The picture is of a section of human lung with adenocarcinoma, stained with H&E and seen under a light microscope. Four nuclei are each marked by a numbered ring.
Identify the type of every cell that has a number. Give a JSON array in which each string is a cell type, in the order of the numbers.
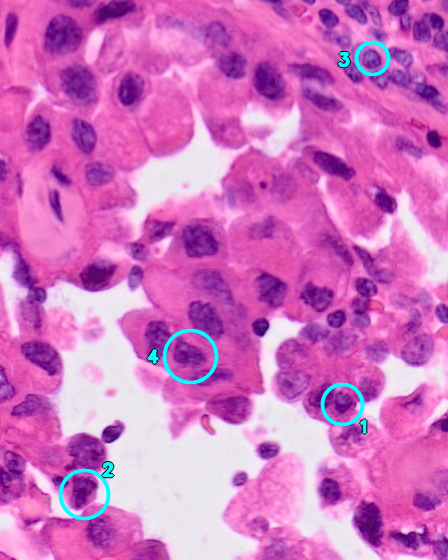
["carcinoma cell", "carcinoma cell", "lymphocyte", "carcinoma cell"]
